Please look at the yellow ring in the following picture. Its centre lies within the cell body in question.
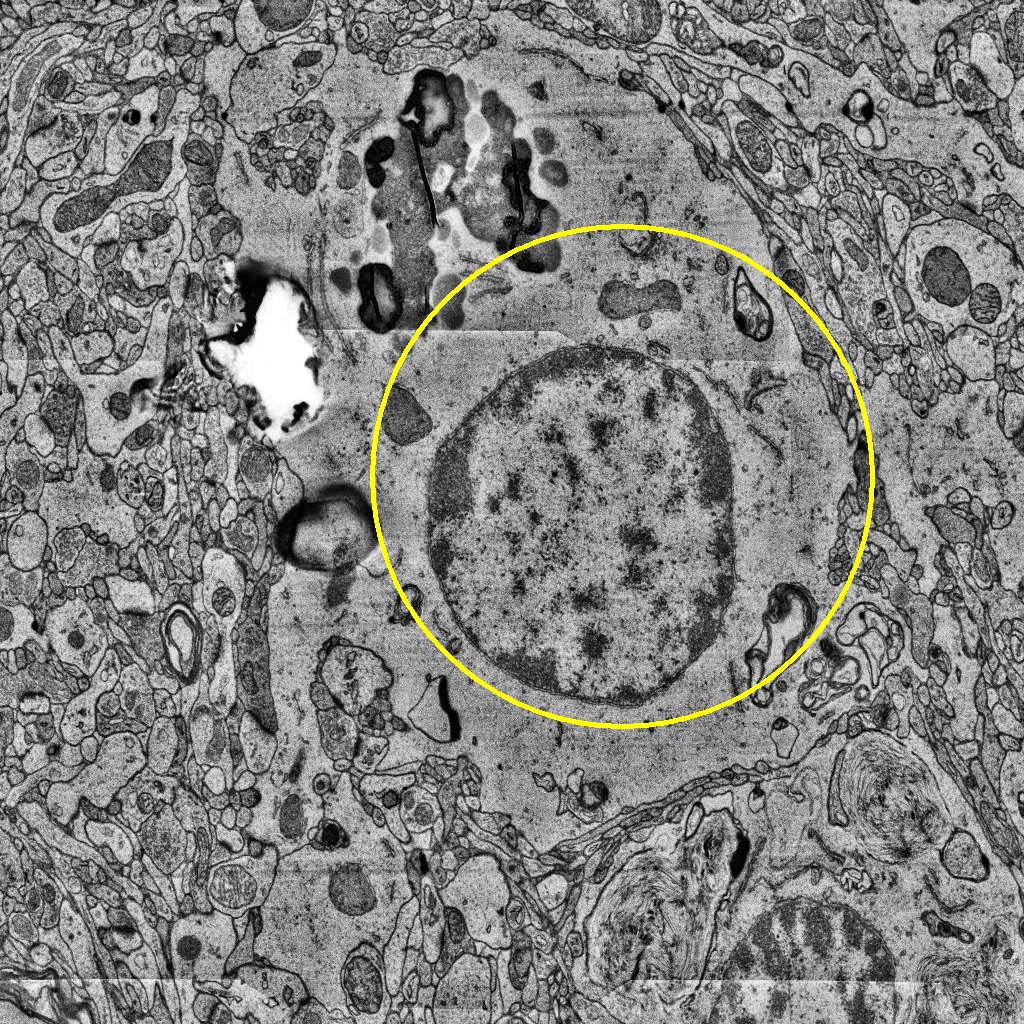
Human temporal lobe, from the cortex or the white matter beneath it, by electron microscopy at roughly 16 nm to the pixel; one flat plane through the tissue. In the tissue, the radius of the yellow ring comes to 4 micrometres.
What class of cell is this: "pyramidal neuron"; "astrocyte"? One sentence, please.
The centre of the ring lies in the cell body of an astrocyte.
